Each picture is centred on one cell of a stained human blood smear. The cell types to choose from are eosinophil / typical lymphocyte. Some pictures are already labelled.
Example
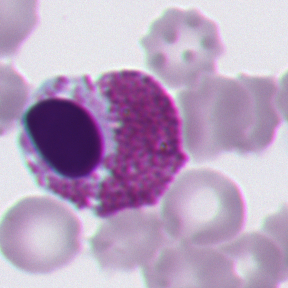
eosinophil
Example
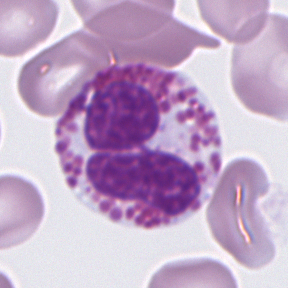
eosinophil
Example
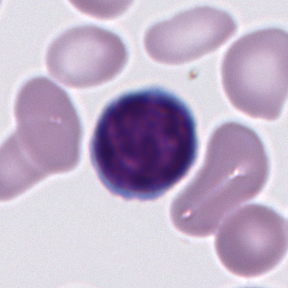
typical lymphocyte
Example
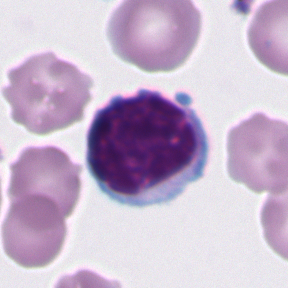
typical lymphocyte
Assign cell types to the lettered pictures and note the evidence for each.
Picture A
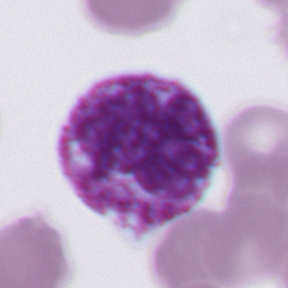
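eosinophil. Evidence: The cell is packed with coarse granules.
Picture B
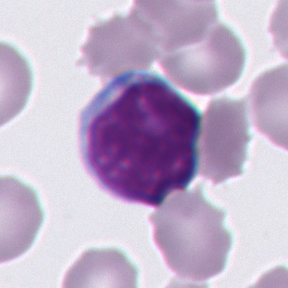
typical lymphocyte. Evidence: The nucleus is a single unlobed mass.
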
